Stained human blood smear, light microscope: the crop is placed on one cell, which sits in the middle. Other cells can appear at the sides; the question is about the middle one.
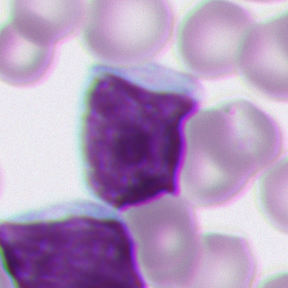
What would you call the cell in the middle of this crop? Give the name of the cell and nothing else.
lymphocyte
